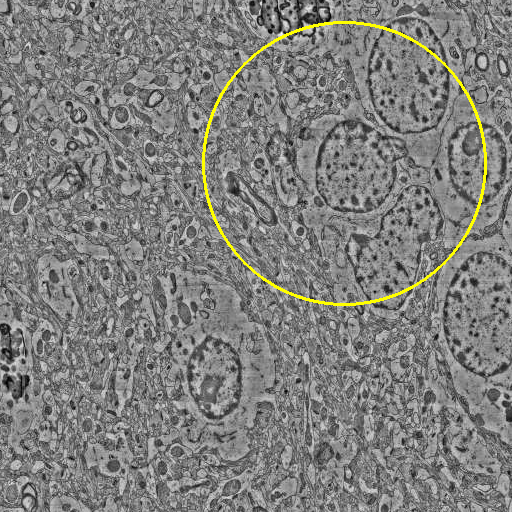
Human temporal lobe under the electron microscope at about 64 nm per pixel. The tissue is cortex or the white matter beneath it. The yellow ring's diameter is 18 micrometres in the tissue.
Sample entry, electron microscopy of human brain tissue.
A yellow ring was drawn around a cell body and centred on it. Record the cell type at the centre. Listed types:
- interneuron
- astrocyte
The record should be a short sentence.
The cell at the ring's centre is an astrocyte.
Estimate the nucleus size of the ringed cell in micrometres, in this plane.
In this plane the ringed cell's nucleus is roughly 6 micrometres across.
